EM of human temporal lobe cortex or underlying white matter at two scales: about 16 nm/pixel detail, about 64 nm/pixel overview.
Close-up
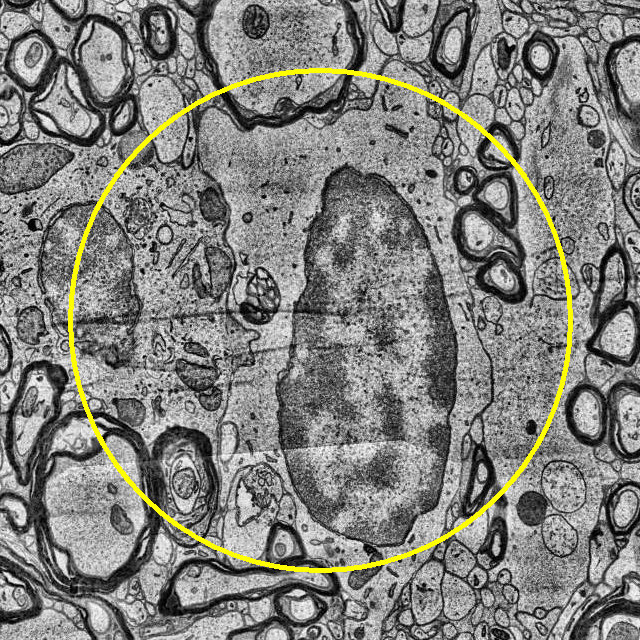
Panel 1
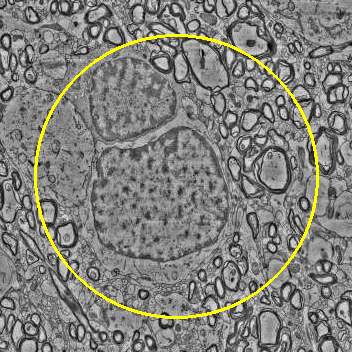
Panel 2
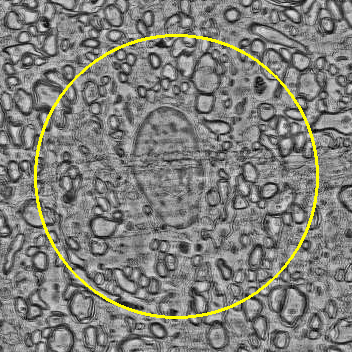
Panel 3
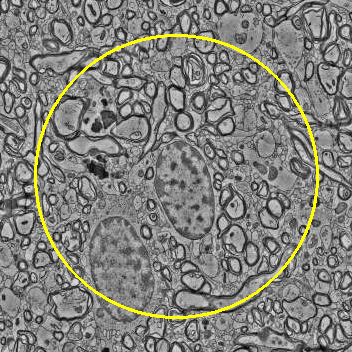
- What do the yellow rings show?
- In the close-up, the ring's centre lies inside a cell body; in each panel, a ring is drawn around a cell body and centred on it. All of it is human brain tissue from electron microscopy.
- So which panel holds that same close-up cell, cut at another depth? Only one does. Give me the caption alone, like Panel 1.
Panel 2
